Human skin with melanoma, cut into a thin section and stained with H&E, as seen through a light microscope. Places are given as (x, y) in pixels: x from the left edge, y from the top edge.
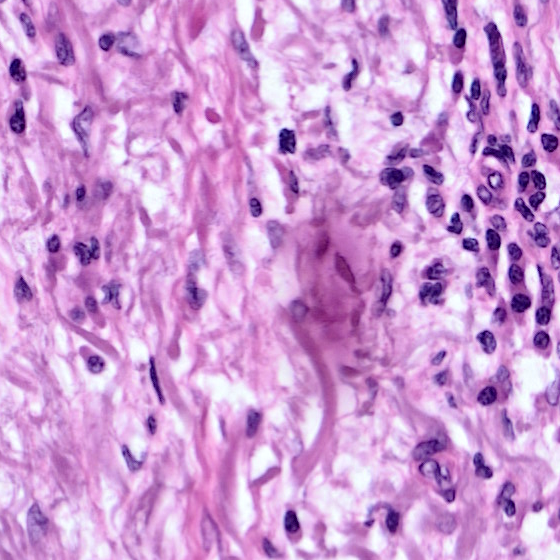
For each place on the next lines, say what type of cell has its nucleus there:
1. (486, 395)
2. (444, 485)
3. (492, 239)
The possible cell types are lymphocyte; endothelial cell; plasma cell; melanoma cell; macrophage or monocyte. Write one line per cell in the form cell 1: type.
cell 1: plasma cell
cell 2: endothelial cell
cell 3: plasma cell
